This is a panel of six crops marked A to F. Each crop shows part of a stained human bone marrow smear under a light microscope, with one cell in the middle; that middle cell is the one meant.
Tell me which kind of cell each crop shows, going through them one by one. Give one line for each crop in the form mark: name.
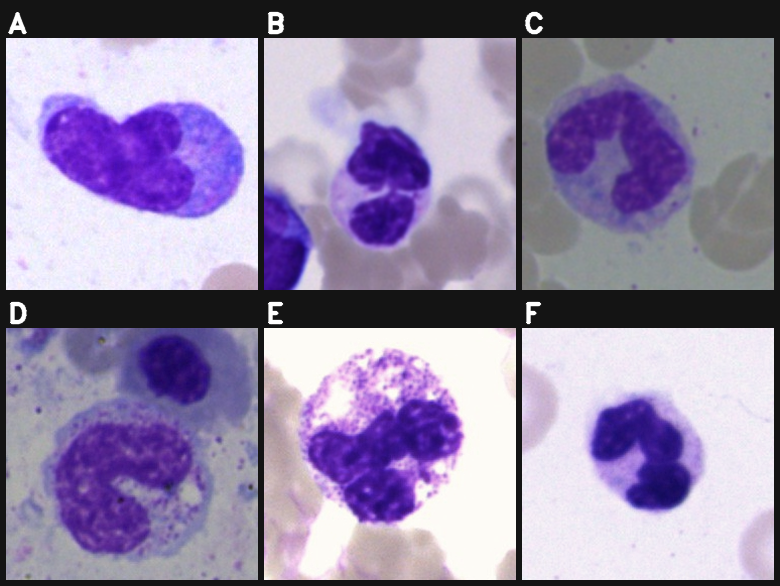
A: monocyte
B: neutrophil
C: monocyte
D: monocyte
E: neutrophil
F: neutrophil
